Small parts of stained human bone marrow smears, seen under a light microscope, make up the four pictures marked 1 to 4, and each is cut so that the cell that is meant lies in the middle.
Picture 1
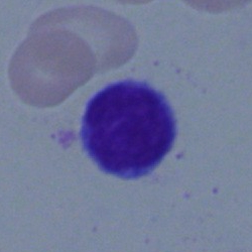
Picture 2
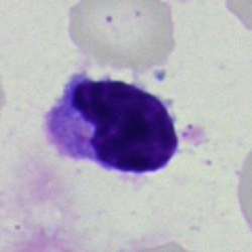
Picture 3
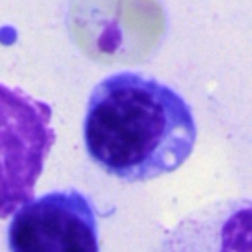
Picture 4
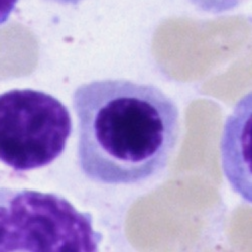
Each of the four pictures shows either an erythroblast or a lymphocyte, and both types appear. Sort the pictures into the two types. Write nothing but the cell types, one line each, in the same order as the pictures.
lymphocyte
lymphocyte
erythroblast
erythroblast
